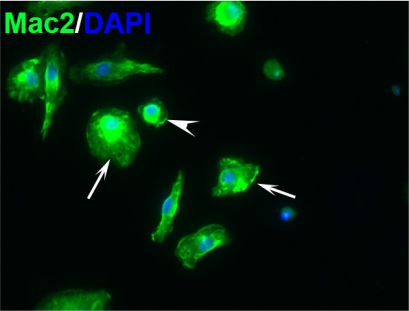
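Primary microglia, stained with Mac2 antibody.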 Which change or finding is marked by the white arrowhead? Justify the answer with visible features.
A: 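Cell shrinkage. The cell at the arrowhead is small and round. It is much smaller than the flattened cells around it.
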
